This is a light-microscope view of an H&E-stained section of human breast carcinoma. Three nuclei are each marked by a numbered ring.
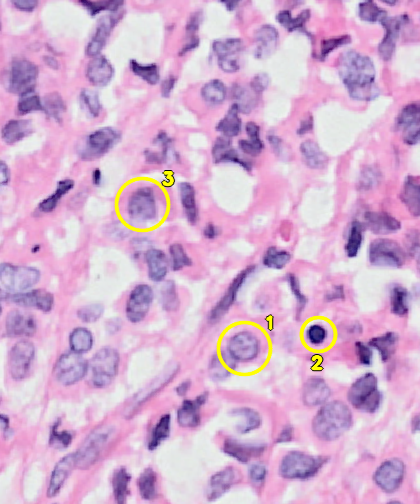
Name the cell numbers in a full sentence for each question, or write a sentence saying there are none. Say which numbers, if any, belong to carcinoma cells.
The cells numbered 1 and 3 are typed as carcinoma cells.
